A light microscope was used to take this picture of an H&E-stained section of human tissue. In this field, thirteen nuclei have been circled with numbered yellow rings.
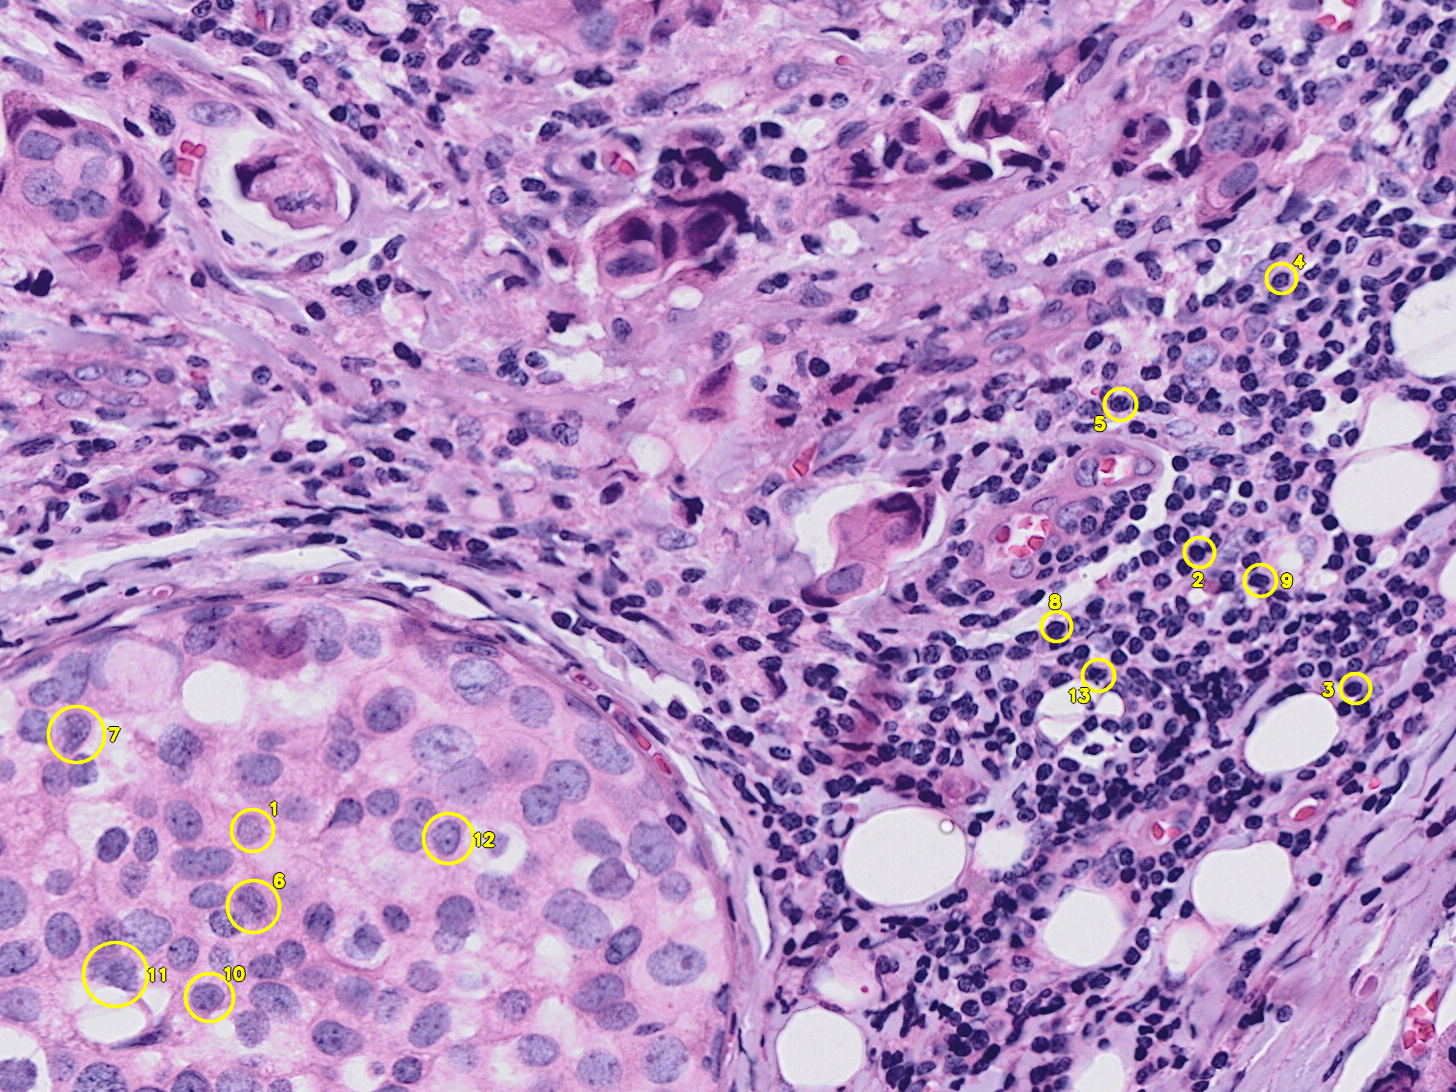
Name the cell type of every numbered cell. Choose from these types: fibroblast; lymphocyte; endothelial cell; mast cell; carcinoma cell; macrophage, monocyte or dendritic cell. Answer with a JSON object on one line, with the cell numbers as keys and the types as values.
{"1": "carcinoma cell", "2": "lymphocyte", "3": "lymphocyte", "4": "lymphocyte", "5": "lymphocyte", "6": "carcinoma cell", "7": "carcinoma cell", "8": "lymphocyte", "9": "lymphocyte", "10": "carcinoma cell", "11": "carcinoma cell", "12": "carcinoma cell", "13": "lymphocyte"}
